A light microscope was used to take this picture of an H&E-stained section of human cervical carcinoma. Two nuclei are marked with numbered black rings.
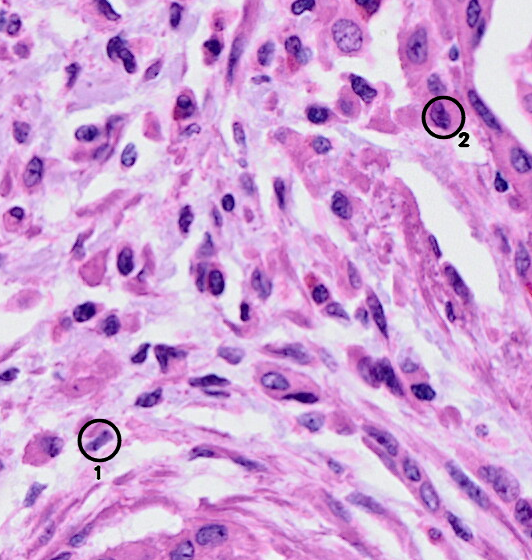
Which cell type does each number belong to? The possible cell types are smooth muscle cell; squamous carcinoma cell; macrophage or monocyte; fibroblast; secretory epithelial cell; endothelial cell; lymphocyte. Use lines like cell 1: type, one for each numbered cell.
cell 1: fibroblast
cell 2: macrophage or monocyte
